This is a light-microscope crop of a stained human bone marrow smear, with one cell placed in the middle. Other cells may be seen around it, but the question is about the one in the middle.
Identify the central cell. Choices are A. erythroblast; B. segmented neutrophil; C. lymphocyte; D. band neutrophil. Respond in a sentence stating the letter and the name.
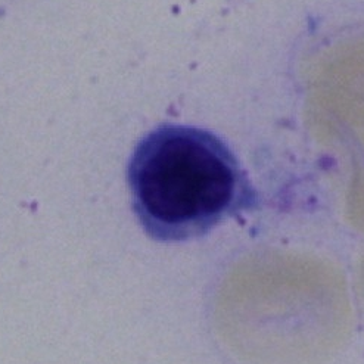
In the centre of the crop there is an erythroblast, making option A correct.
